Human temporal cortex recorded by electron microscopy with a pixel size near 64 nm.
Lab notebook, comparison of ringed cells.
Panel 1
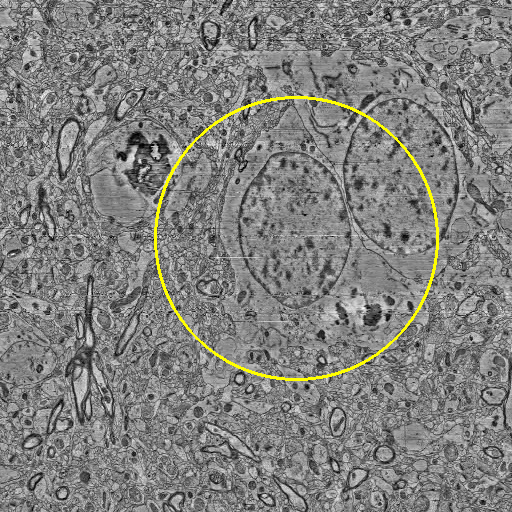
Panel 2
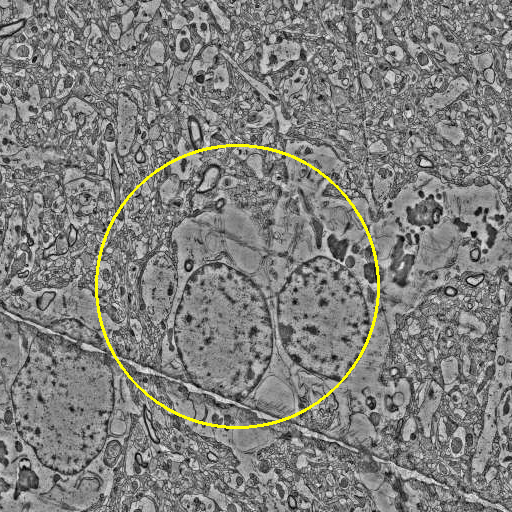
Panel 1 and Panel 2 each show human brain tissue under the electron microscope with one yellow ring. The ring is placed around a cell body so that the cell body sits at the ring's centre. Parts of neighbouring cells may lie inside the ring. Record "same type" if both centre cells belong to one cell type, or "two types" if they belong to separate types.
same type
